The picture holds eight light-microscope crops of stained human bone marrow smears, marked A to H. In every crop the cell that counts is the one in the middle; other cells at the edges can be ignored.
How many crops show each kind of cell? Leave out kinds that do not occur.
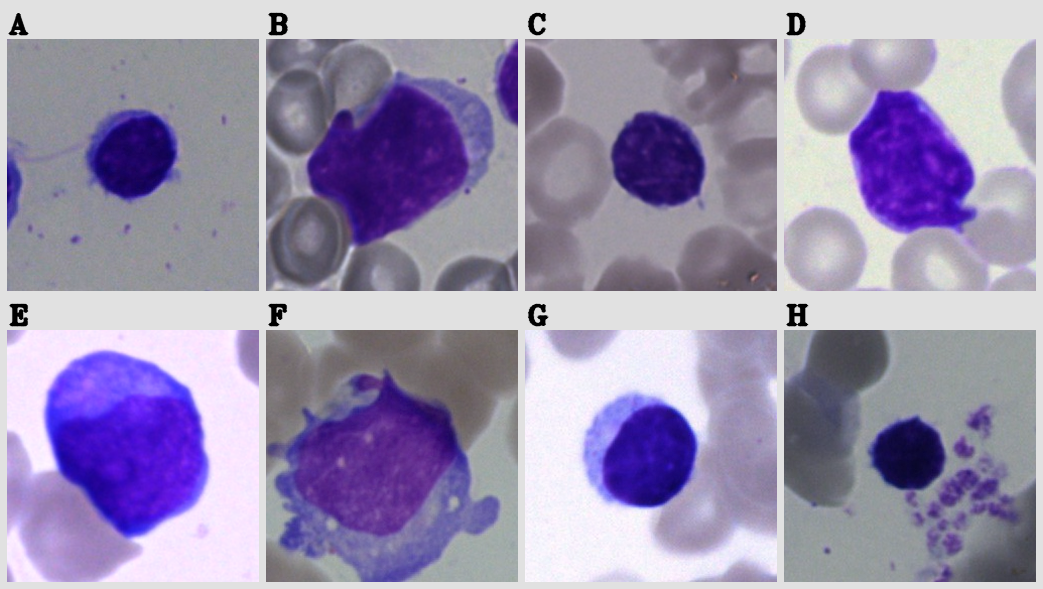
lymphocyte: 4
blast: 4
